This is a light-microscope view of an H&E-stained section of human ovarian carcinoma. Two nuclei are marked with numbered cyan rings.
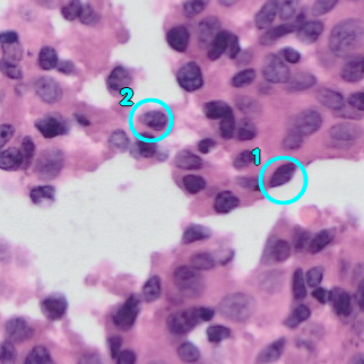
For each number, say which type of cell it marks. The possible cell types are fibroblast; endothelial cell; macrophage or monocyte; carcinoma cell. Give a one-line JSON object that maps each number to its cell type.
{"1": "carcinoma cell", "2": "macrophage or monocyte"}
